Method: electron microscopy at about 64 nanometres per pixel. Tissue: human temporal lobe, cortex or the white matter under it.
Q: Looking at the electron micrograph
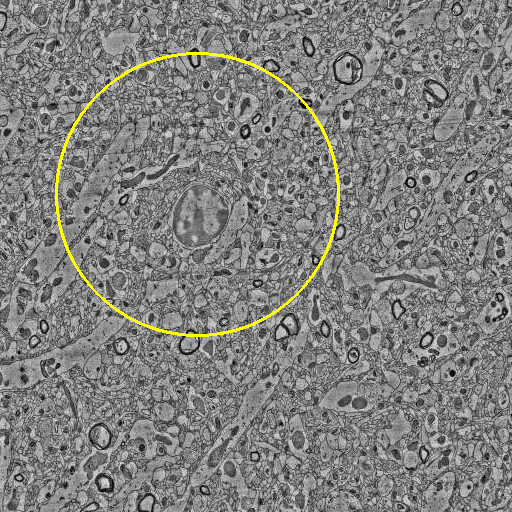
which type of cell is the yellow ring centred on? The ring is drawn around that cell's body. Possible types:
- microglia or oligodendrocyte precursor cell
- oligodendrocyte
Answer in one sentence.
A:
The yellow ring is centred on a microglial cell or oligodendrocyte precursor cell.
